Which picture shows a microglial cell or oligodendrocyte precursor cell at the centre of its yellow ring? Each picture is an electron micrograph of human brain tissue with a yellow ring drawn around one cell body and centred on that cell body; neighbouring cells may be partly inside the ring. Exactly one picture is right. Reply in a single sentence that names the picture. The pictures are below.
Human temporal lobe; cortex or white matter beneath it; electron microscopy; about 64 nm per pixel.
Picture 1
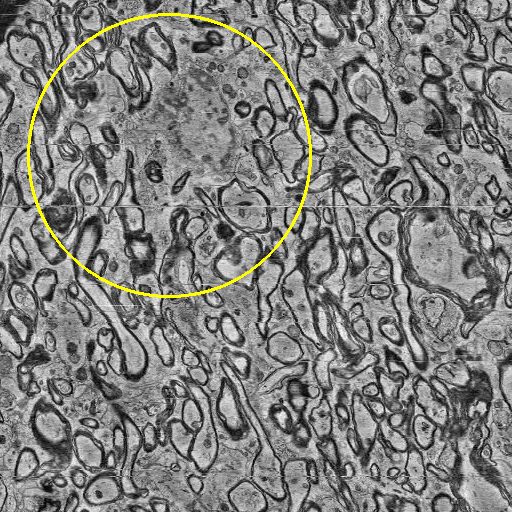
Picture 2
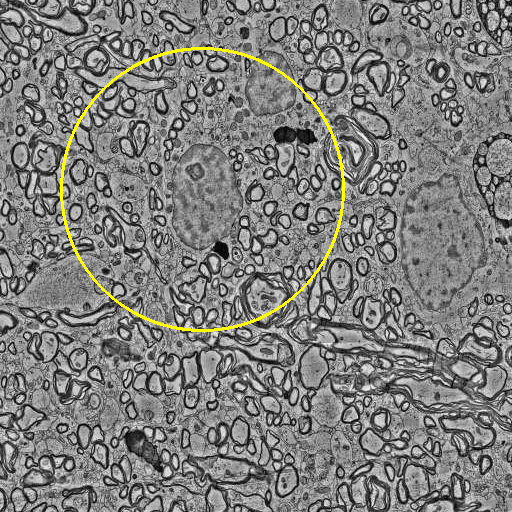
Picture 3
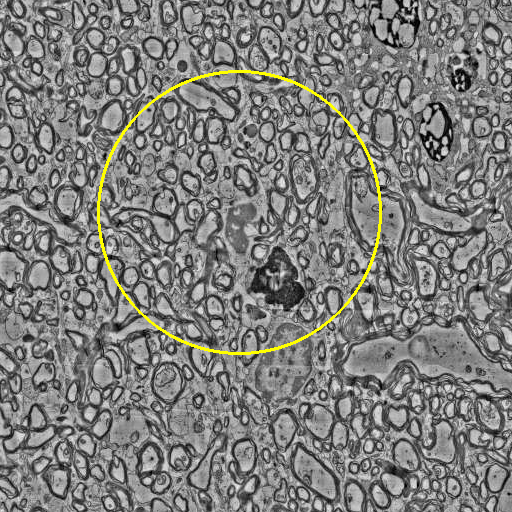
Picture 3 shows it.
